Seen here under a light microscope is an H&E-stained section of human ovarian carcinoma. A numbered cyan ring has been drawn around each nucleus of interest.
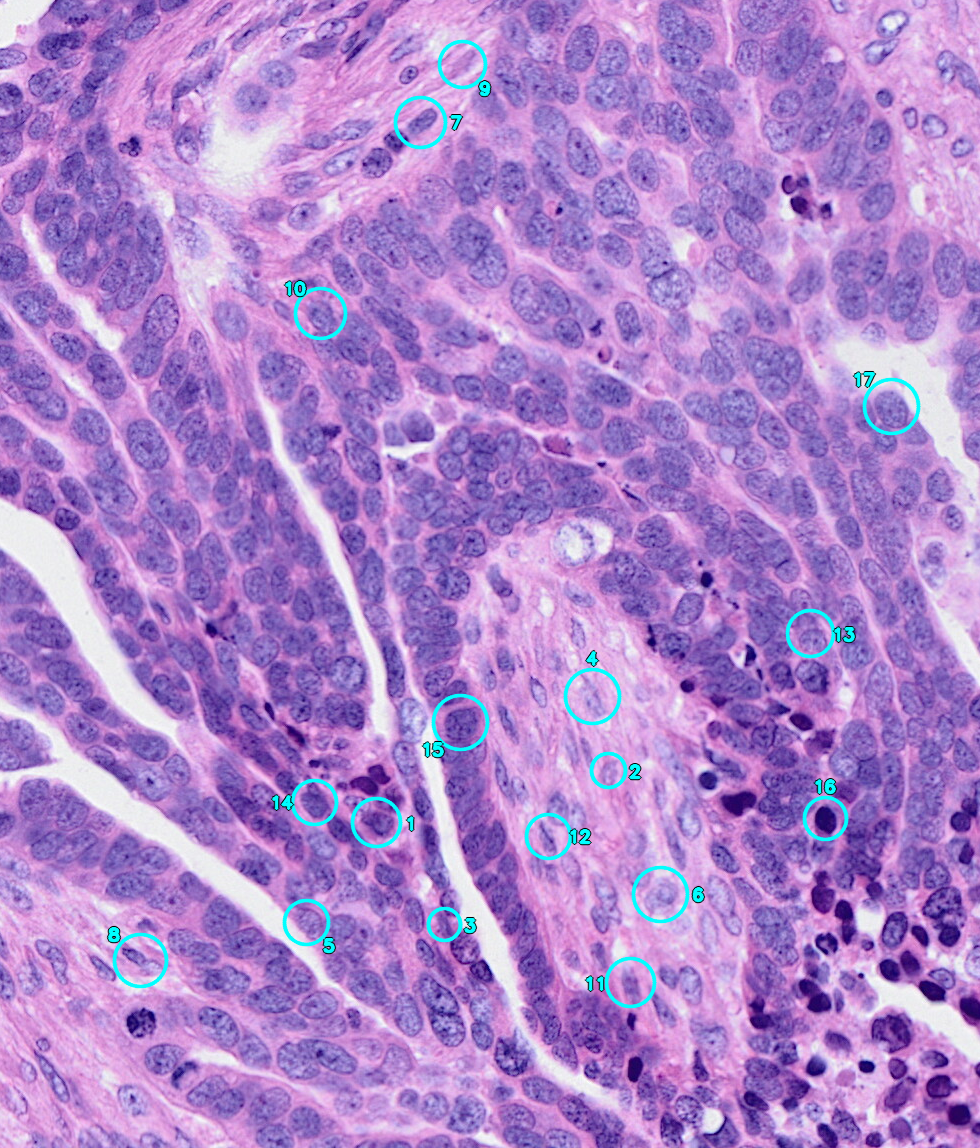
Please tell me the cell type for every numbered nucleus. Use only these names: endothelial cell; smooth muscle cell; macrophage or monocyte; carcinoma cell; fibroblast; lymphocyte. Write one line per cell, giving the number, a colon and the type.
1: carcinoma cell
2: fibroblast
3: carcinoma cell
4: fibroblast
5: carcinoma cell
6: fibroblast
7: macrophage or monocyte
8: fibroblast
9: fibroblast
10: carcinoma cell
11: fibroblast
12: fibroblast
13: carcinoma cell
14: carcinoma cell
15: carcinoma cell
16: carcinoma cell
17: carcinoma cell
